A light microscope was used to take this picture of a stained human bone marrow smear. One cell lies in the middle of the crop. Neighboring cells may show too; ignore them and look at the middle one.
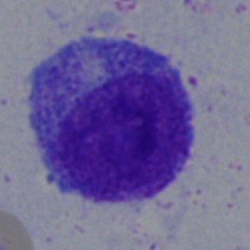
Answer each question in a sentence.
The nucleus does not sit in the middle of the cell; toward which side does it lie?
The nucleus lies toward the lower right of the cell.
